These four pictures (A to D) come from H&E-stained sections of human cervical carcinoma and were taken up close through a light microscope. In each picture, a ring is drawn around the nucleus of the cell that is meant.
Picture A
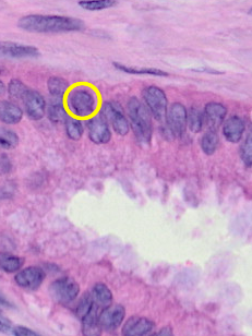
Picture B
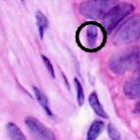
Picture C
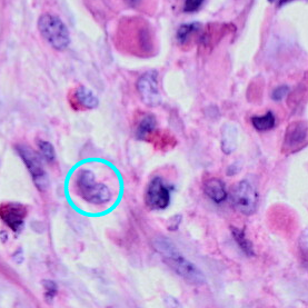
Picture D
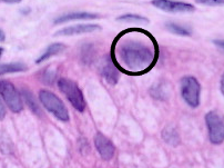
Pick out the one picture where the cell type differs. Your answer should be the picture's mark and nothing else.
C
